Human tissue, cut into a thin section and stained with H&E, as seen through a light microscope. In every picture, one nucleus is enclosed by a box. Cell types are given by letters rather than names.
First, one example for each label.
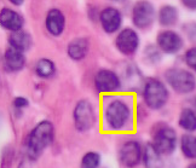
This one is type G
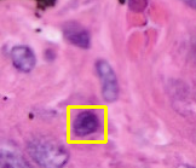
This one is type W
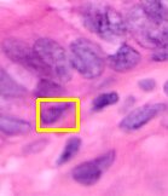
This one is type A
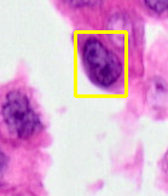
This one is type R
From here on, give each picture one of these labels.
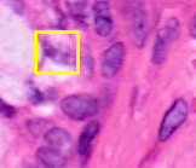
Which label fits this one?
type A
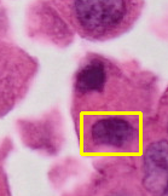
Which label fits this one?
type R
